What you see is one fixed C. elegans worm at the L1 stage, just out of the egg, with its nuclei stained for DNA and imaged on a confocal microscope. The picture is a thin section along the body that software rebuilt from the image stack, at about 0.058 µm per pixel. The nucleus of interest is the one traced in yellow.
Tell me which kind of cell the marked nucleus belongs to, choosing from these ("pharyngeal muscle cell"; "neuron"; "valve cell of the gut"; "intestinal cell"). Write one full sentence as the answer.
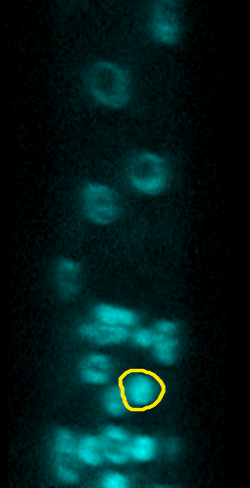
It is the nucleus of a neuron.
